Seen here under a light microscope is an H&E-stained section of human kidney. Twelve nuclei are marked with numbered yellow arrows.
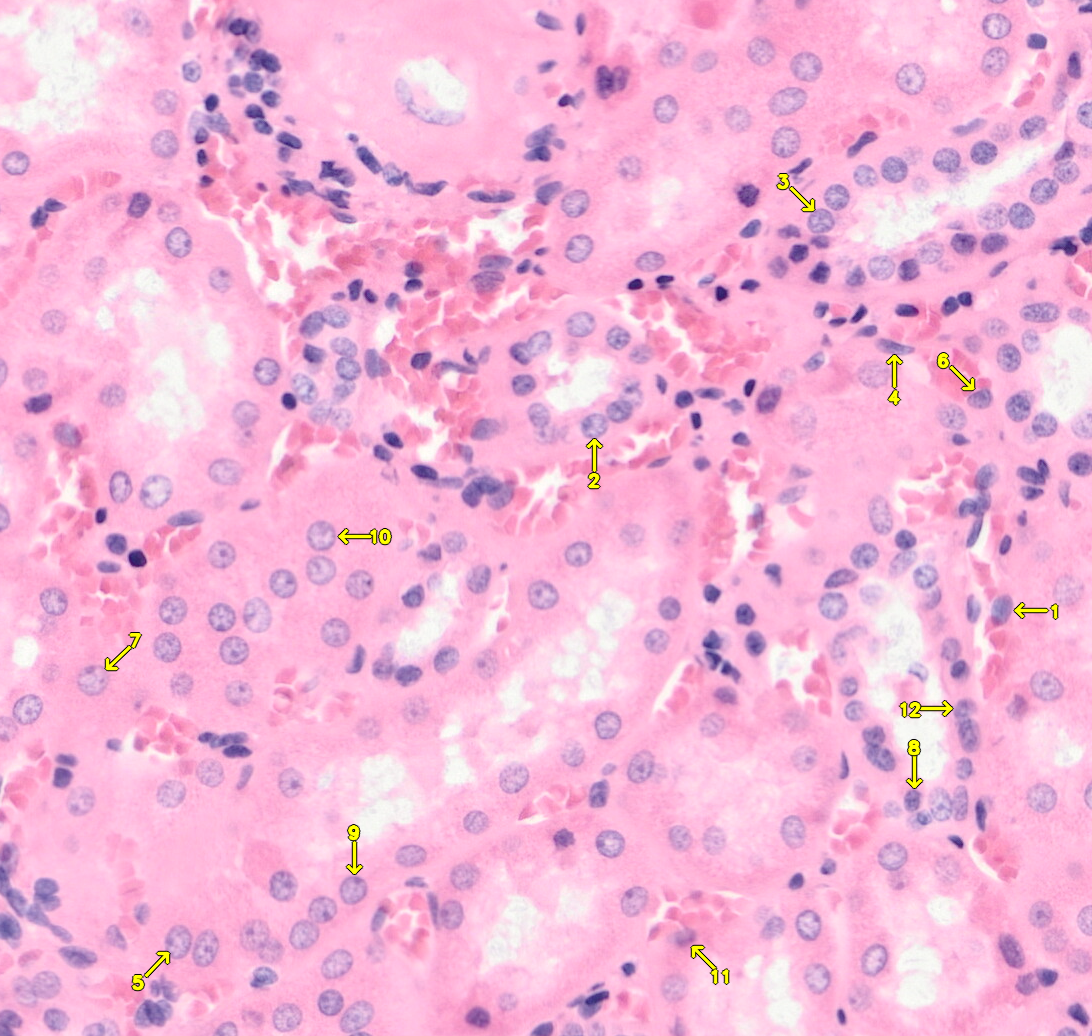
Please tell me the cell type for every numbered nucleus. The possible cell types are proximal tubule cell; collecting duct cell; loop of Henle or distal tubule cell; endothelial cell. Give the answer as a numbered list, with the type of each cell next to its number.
1. endothelial cell
2. collecting duct cell
3. collecting duct cell
4. endothelial cell
5. proximal tubule cell
6. endothelial cell
7. proximal tubule cell
8. collecting duct cell
9. proximal tubule cell
10. proximal tubule cell
11. proximal tubule cell
12. collecting duct cell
